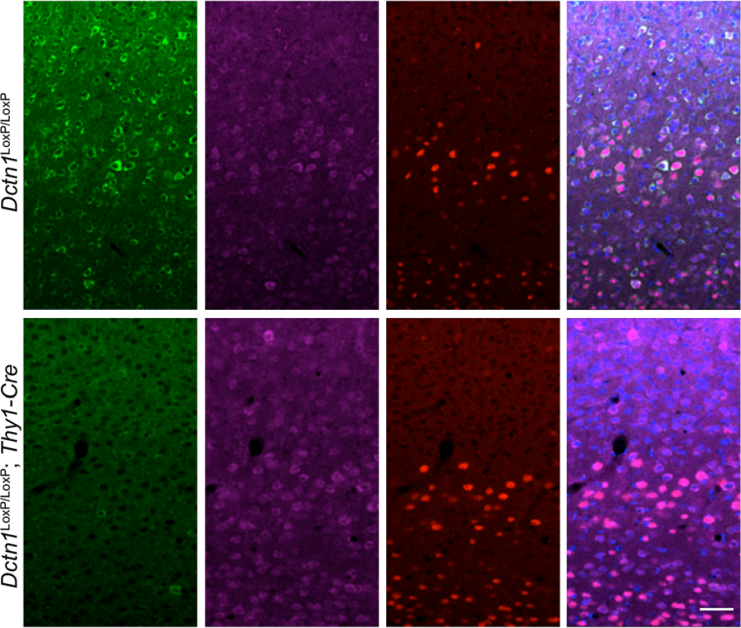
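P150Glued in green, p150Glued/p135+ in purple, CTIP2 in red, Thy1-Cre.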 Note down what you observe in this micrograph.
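A field of cerebral cortex shows many neuronal cell bodies at low magnification, with red nuclear labelling in a subset of larger scattered neurons that become more numerous toward the lower part of the field. In the upper row the green label outlines the cytoplasm of many neurons as rings around unlabelled nuclei, and the merged image shows white to pink cell bodies where channels coincide. In the lower row the green label is faint and diffuse, the cell bodies appearing as dark holes, while the purple cytoplasmic label and the red nuclei remain, so the merge appears mainly magenta and blue.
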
